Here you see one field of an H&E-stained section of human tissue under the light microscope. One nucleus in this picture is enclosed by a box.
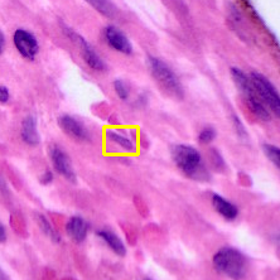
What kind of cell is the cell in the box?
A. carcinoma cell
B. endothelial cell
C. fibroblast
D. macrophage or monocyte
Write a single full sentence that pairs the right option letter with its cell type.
It is as option C has it, the cell in the box being a fibroblast.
